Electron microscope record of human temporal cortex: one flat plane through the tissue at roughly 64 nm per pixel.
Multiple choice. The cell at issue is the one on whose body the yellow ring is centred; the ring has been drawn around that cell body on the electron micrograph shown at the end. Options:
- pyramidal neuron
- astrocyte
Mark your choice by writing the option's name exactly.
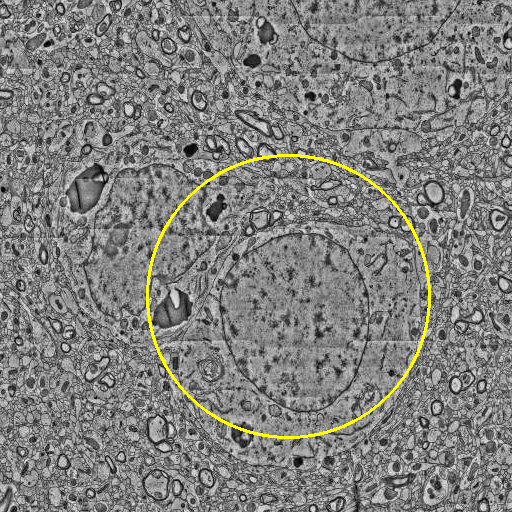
pyramidal neuron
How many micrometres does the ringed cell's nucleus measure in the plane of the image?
Approximately 11 micrometres long and 10 micrometres wide, in this plane.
